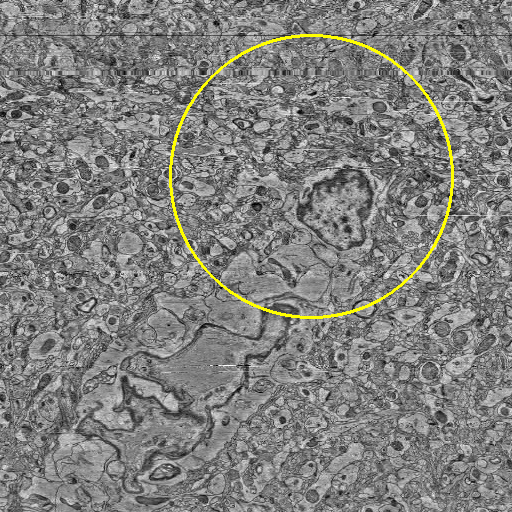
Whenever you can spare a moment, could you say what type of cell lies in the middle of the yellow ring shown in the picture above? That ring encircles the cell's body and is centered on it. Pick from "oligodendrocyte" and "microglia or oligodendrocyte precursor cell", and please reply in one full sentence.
The cell whose body sits at the middle of the yellow ring is a microglial cell or oligodendrocyte precursor cell.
